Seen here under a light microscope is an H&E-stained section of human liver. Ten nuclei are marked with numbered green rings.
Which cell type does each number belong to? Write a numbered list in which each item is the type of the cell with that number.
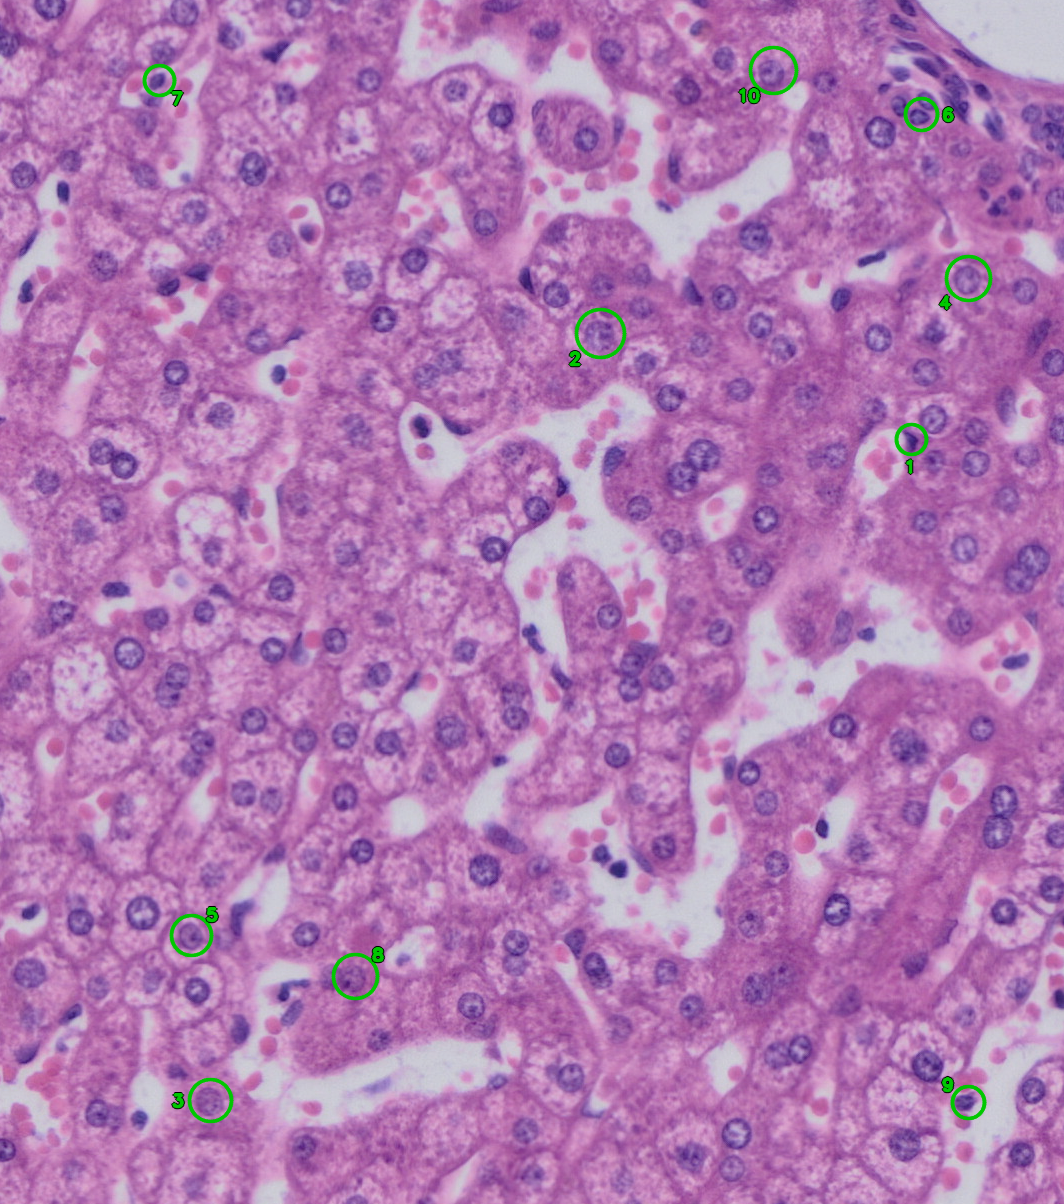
1. fibroblast or stellate cell
2. hepatocyte
3. hepatocyte
4. hepatocyte
5. hepatocyte
6. cholangiocyte
7. lymphocyte
8. hepatocyte
9. lymphocyte
10. hepatocyte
